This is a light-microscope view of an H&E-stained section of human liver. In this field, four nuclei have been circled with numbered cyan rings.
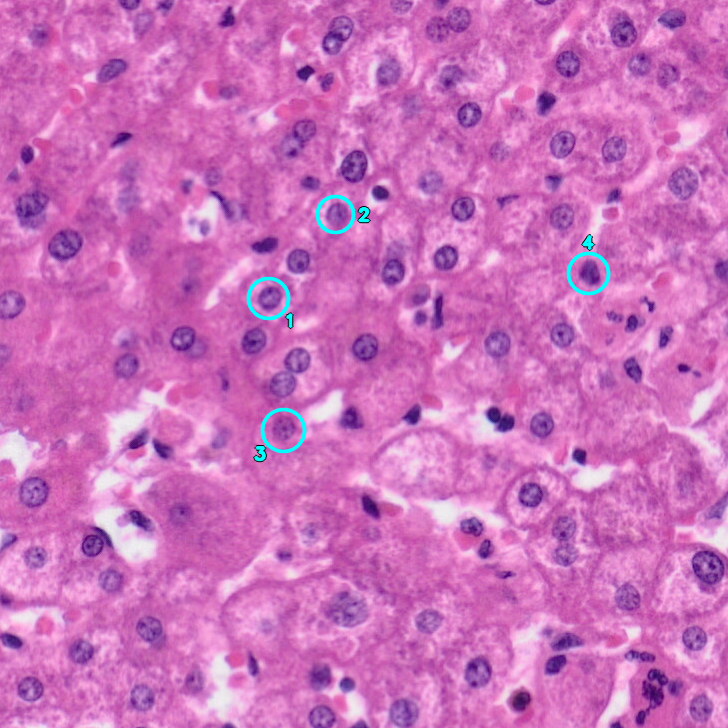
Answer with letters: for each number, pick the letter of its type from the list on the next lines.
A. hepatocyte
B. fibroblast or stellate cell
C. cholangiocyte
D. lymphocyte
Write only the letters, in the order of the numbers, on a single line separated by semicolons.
A; A; A; B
